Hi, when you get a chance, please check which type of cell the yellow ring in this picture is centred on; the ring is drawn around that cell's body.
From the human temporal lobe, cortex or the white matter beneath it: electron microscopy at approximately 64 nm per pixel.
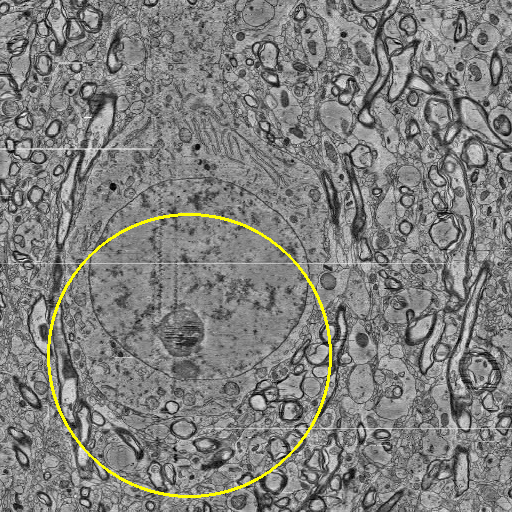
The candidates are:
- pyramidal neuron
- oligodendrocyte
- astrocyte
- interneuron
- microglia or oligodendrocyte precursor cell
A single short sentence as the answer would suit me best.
The ring is drawn around the body of a pyramidal neuron.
